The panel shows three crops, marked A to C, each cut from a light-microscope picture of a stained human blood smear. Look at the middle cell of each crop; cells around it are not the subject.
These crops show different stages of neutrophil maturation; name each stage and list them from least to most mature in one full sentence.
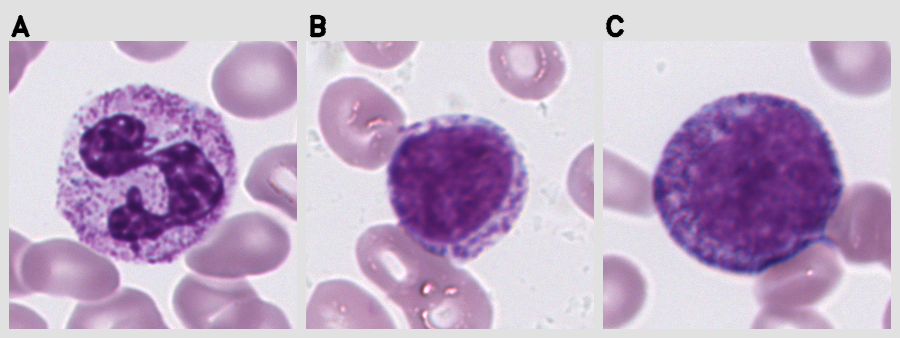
Taken from least to most mature, the sequence is crop C (a promyelocyte), crop B (a myelocyte) and crop A (a segmented neutrophil).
